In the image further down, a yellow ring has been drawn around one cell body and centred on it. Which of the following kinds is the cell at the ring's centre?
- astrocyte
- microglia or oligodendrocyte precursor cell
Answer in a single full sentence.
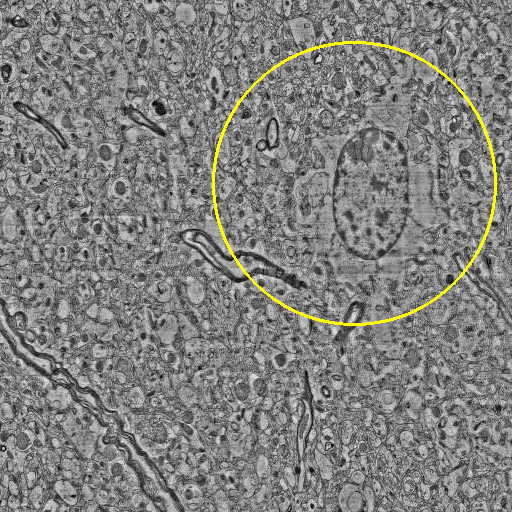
In the picture, the cell sitting at the centre of the yellow ring is an astrocyte.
